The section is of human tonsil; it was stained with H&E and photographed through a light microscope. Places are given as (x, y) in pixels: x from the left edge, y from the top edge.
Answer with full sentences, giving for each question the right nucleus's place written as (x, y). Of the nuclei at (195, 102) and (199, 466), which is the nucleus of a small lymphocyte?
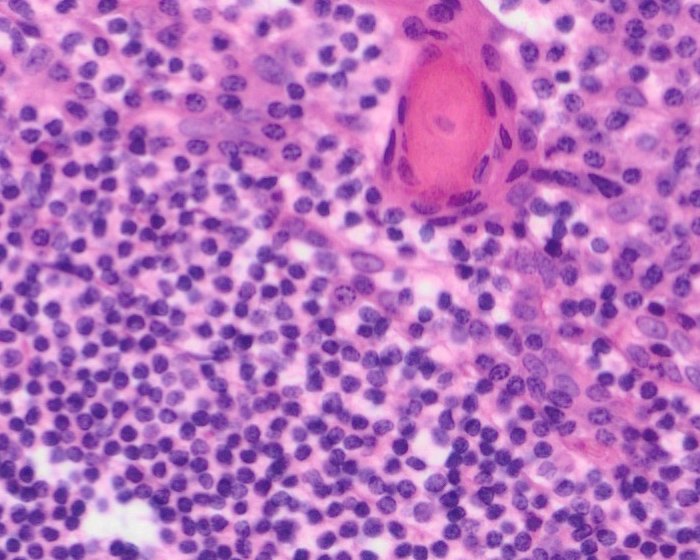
The nucleus belonging to a small lymphocyte is the one at (199, 466).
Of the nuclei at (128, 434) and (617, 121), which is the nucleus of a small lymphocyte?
As for which of the two, the nucleus at (128, 434) belongs to a small lymphocyte.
